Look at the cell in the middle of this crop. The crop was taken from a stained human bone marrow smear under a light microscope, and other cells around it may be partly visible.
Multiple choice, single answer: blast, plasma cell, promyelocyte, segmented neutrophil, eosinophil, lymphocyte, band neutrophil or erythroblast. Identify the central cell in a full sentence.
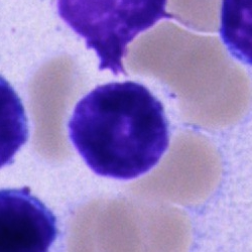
The cell found in the middle of this crop is a lymphocyte.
